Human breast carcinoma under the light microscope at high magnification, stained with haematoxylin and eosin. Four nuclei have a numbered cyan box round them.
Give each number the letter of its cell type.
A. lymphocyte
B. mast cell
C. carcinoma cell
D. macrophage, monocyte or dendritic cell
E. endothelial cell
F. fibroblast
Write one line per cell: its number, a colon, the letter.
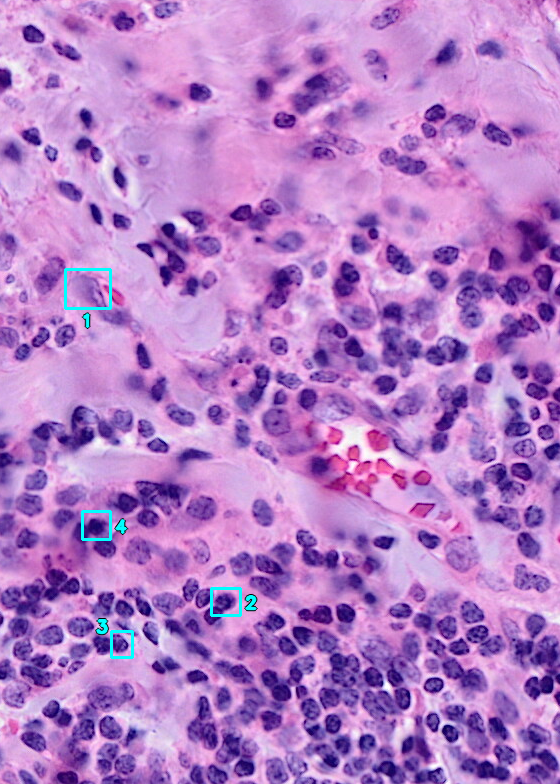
1: E
2: A
3: A
4: A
